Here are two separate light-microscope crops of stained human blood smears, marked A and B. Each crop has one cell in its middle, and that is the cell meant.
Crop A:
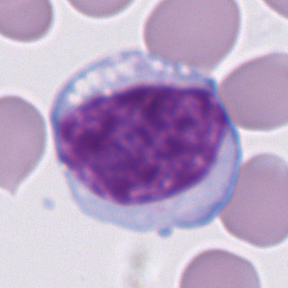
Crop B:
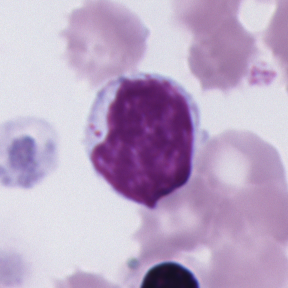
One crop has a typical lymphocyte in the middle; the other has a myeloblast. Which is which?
A: myeloblast
B: typical lymphocyte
